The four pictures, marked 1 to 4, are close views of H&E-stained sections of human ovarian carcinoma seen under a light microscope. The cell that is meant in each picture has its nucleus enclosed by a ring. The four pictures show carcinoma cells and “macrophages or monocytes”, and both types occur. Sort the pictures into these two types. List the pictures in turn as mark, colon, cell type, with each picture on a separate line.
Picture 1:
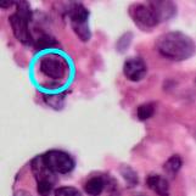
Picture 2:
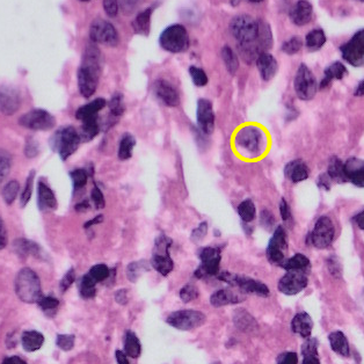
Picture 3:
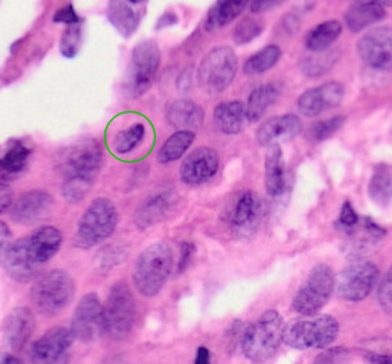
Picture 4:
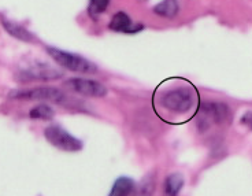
1: carcinoma cell
2: macrophage or monocyte
3: macrophage or monocyte
4: carcinoma cell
